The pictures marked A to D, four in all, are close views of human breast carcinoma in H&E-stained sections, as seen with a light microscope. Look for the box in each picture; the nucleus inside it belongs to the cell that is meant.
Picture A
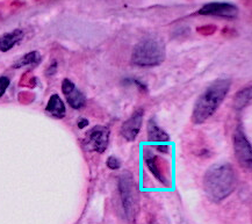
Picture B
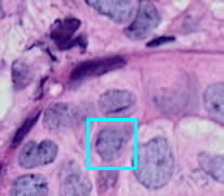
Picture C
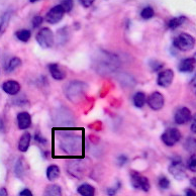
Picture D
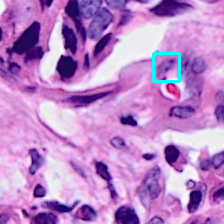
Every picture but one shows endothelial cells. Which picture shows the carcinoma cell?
B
